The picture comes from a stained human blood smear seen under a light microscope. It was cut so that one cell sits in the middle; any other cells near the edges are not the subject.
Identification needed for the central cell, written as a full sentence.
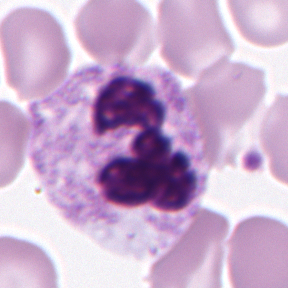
This crop is built around a segmented neutrophil at its centre.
